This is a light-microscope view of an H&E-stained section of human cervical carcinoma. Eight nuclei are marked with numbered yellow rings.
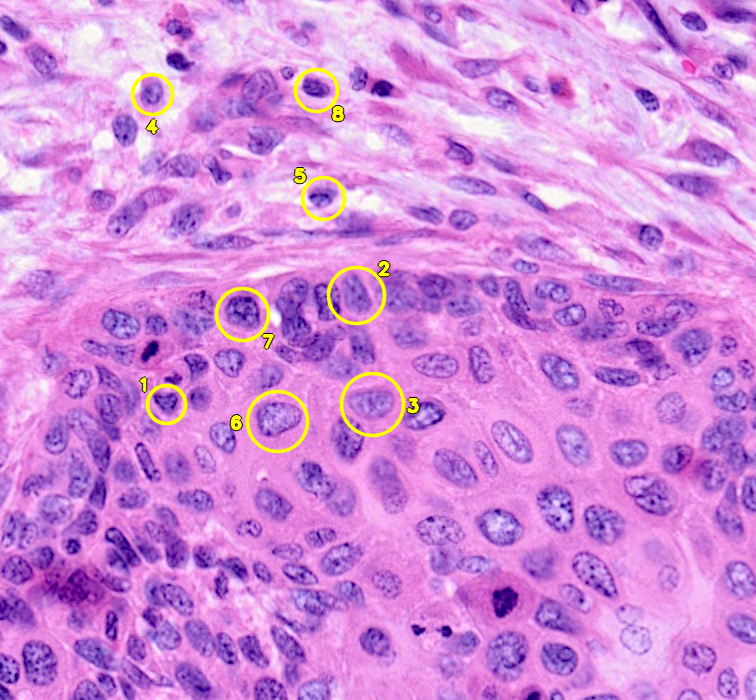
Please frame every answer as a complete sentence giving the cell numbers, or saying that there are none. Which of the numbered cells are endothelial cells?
It is true of every numbered cell that it is not one of the endothelial cells.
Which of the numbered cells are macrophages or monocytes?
Being a macrophage or monocyte is true of cell 4 and of no other numbered cell.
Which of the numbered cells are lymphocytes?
The cells to which the numbers 5 and 8 refer are lymphocytes.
